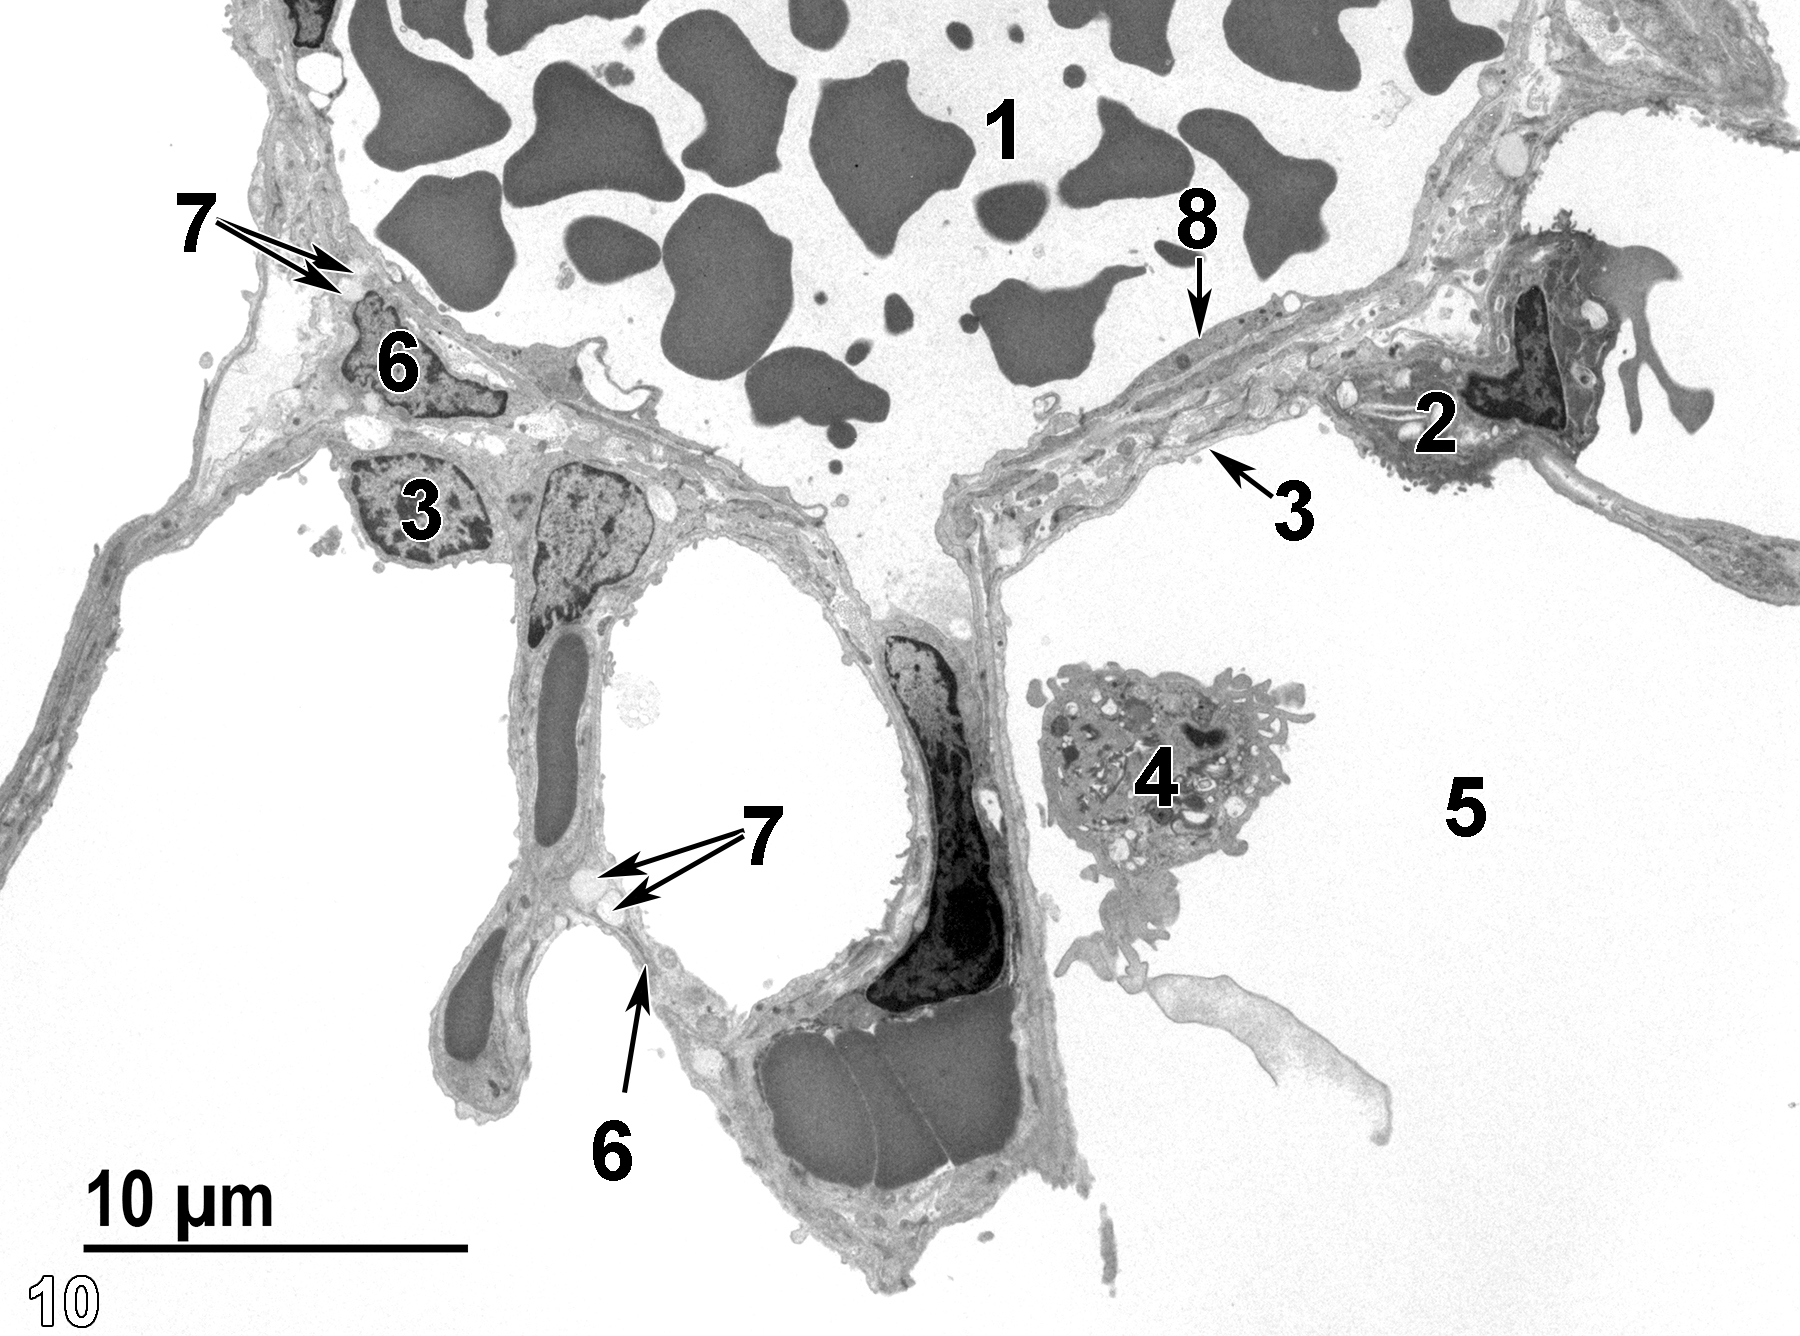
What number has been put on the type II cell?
2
